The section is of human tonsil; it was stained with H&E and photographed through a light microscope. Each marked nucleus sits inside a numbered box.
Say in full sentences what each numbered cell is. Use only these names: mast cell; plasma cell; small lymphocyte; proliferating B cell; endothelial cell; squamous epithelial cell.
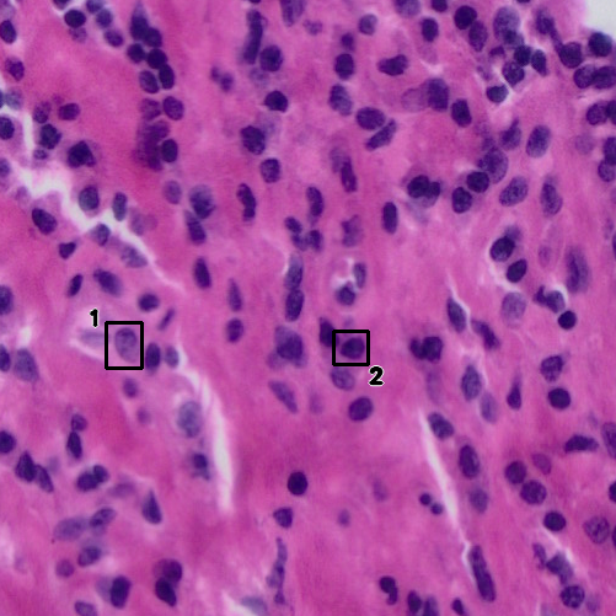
Cell 1 is an endothelial cell and cell 2 is a plasma cell.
